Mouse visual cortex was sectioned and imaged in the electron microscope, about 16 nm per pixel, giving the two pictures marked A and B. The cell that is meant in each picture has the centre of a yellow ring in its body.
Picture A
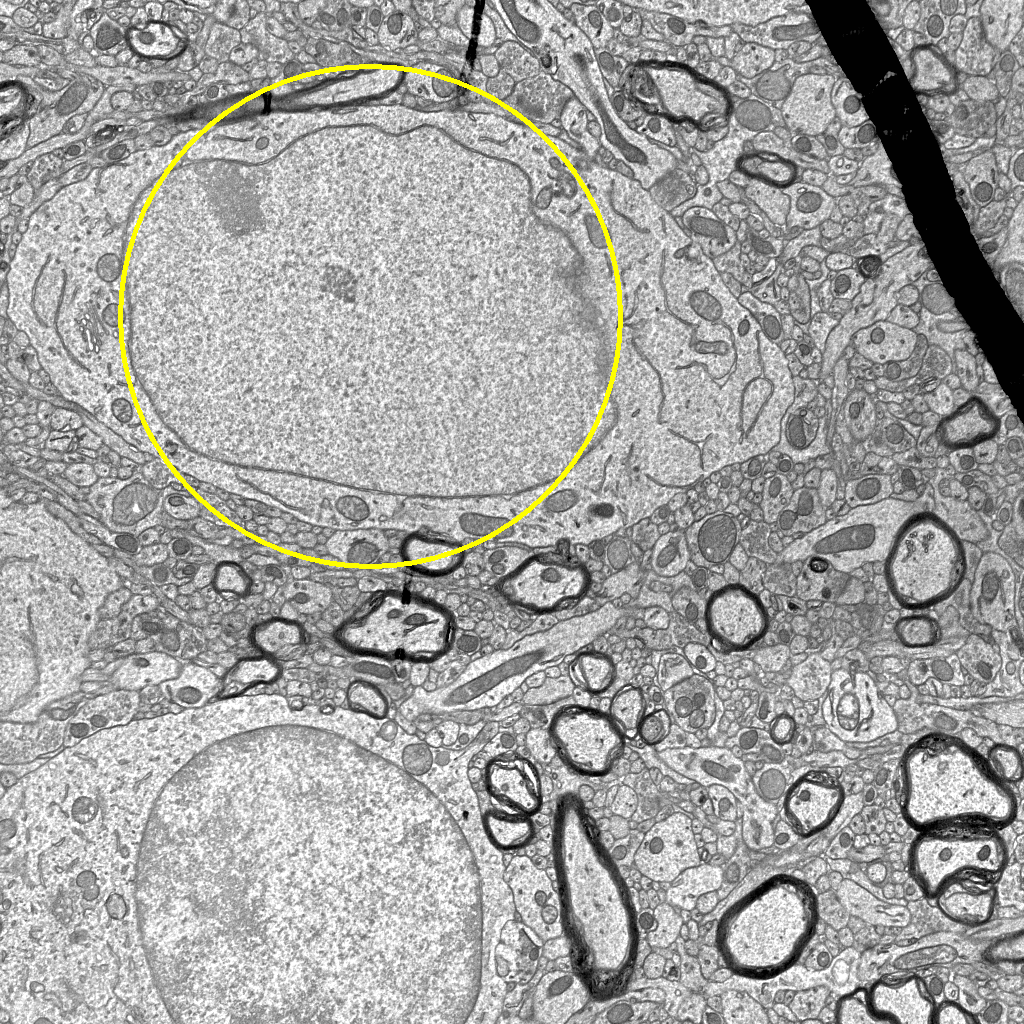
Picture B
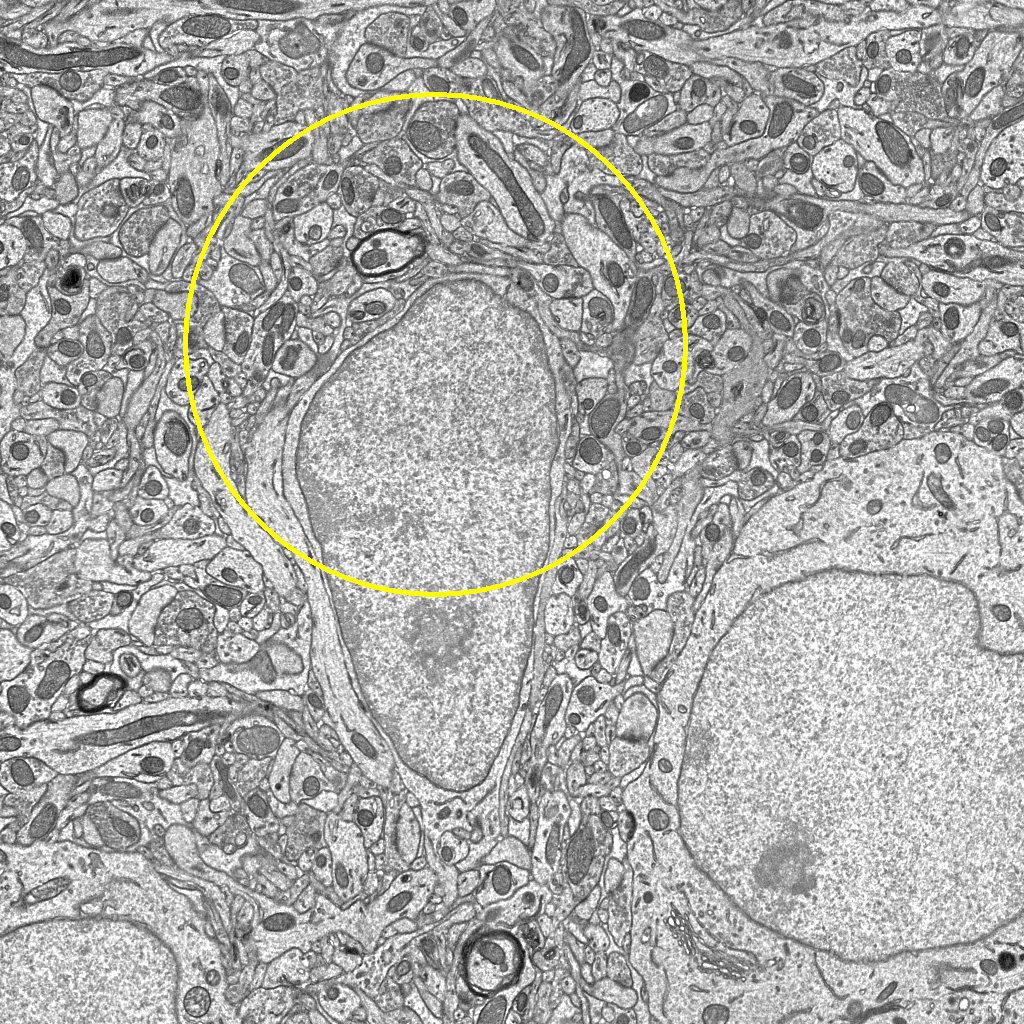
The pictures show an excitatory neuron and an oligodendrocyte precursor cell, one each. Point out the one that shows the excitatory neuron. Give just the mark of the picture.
A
